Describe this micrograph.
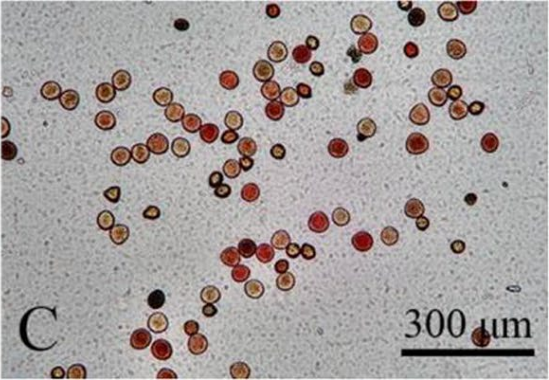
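Loose, round pollen grains lie scattered singly and in small clusters over a pale background. Each grain has a distinct darker wall around its contents. The contents range from pale yellowish-beige to deep red. A few grains are collapsed or misshapen, and some appear very dark.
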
